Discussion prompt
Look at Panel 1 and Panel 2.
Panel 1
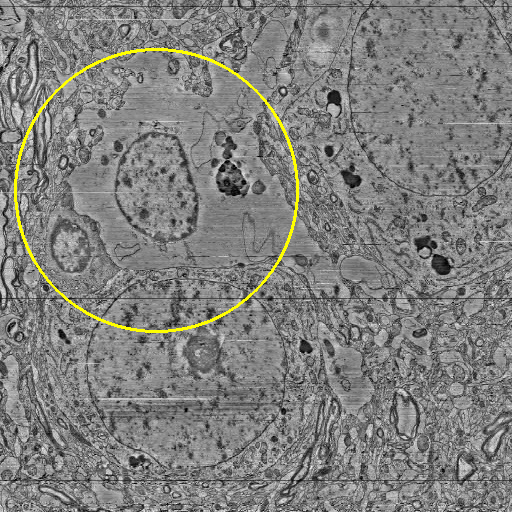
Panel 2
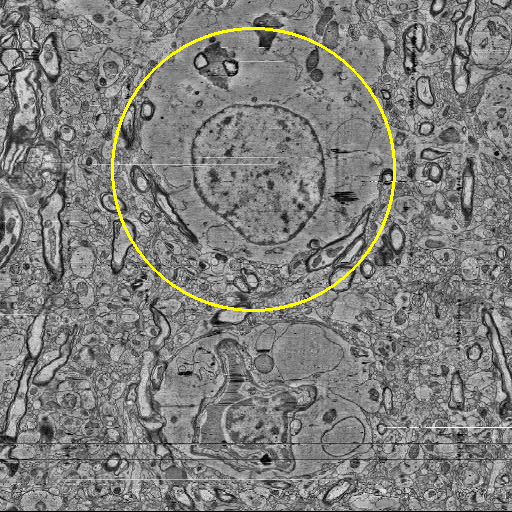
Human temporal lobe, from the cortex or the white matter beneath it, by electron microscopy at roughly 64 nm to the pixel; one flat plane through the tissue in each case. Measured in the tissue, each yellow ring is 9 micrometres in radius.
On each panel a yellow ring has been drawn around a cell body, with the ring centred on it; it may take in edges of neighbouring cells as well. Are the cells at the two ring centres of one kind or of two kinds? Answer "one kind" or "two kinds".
one kind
